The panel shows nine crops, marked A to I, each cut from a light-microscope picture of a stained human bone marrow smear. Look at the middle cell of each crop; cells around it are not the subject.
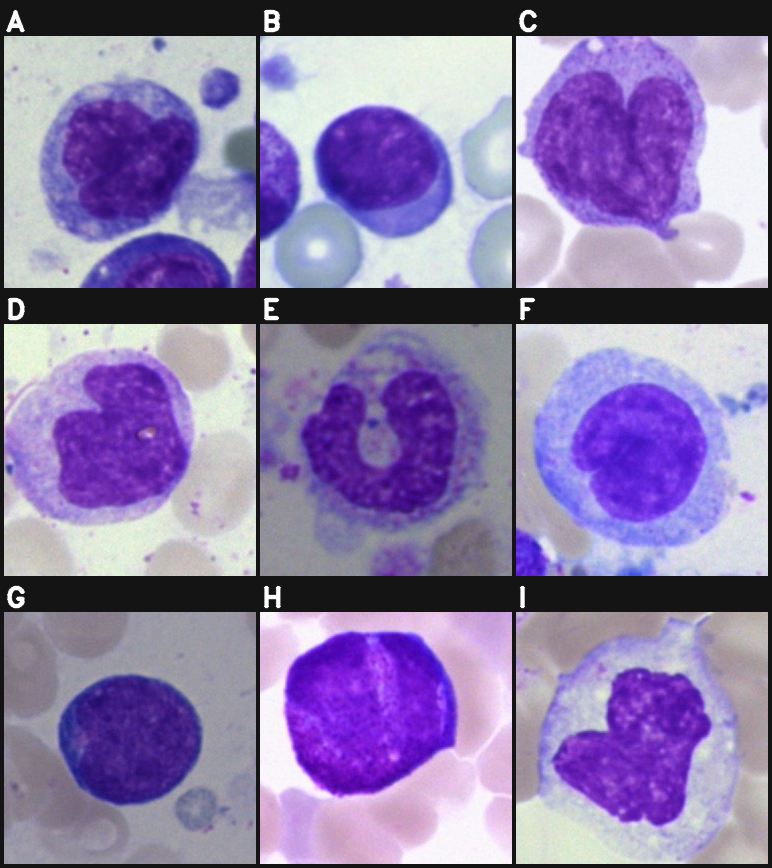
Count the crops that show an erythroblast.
0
